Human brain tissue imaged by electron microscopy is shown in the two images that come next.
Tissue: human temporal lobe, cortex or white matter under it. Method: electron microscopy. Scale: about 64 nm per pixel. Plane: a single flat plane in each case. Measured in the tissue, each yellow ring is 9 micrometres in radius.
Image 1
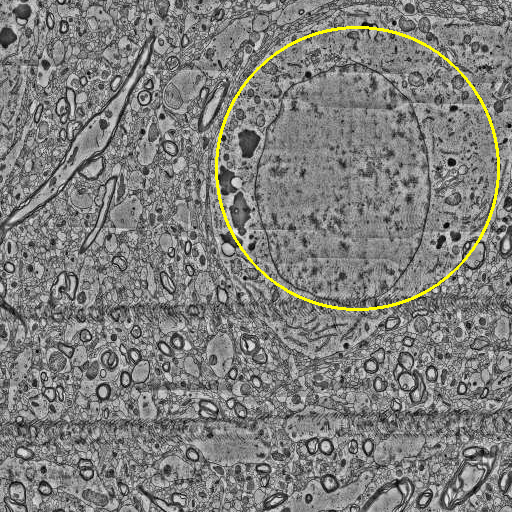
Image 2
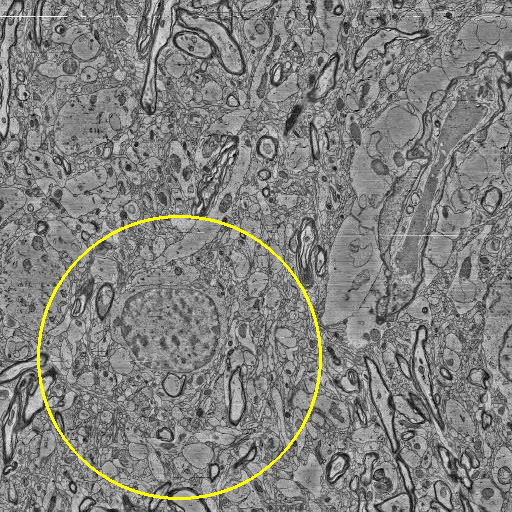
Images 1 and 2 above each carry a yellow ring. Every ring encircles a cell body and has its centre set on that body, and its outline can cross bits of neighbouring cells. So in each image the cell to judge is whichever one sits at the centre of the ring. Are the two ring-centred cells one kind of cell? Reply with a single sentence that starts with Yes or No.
No, in Image 1 and Image 2 the cells at the centres of their rings fall into two types.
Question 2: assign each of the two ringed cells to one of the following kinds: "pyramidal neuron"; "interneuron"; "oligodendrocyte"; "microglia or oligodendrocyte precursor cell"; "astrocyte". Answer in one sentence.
The two cells are a pyramidal neuron in the first picture and an oligodendrocyte in the second.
